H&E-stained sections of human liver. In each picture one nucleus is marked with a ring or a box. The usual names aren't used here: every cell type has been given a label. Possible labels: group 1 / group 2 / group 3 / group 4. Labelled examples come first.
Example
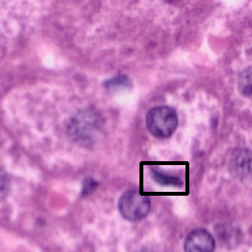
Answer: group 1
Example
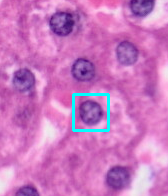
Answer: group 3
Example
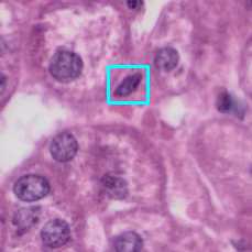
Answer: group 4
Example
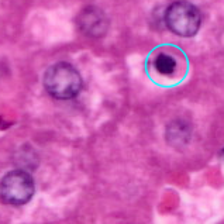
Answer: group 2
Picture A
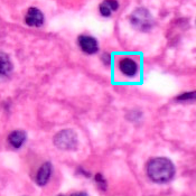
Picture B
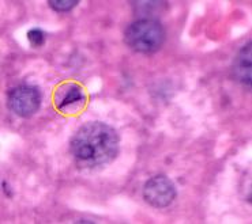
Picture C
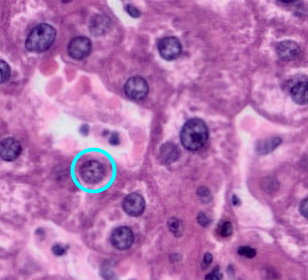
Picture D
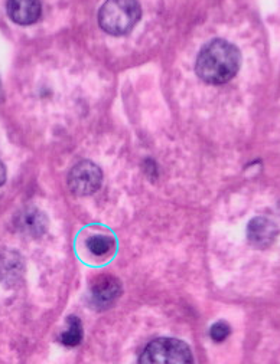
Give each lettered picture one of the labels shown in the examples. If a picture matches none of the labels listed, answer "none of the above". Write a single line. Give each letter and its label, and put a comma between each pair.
A group 2, B group 4, C group 3, D group 2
